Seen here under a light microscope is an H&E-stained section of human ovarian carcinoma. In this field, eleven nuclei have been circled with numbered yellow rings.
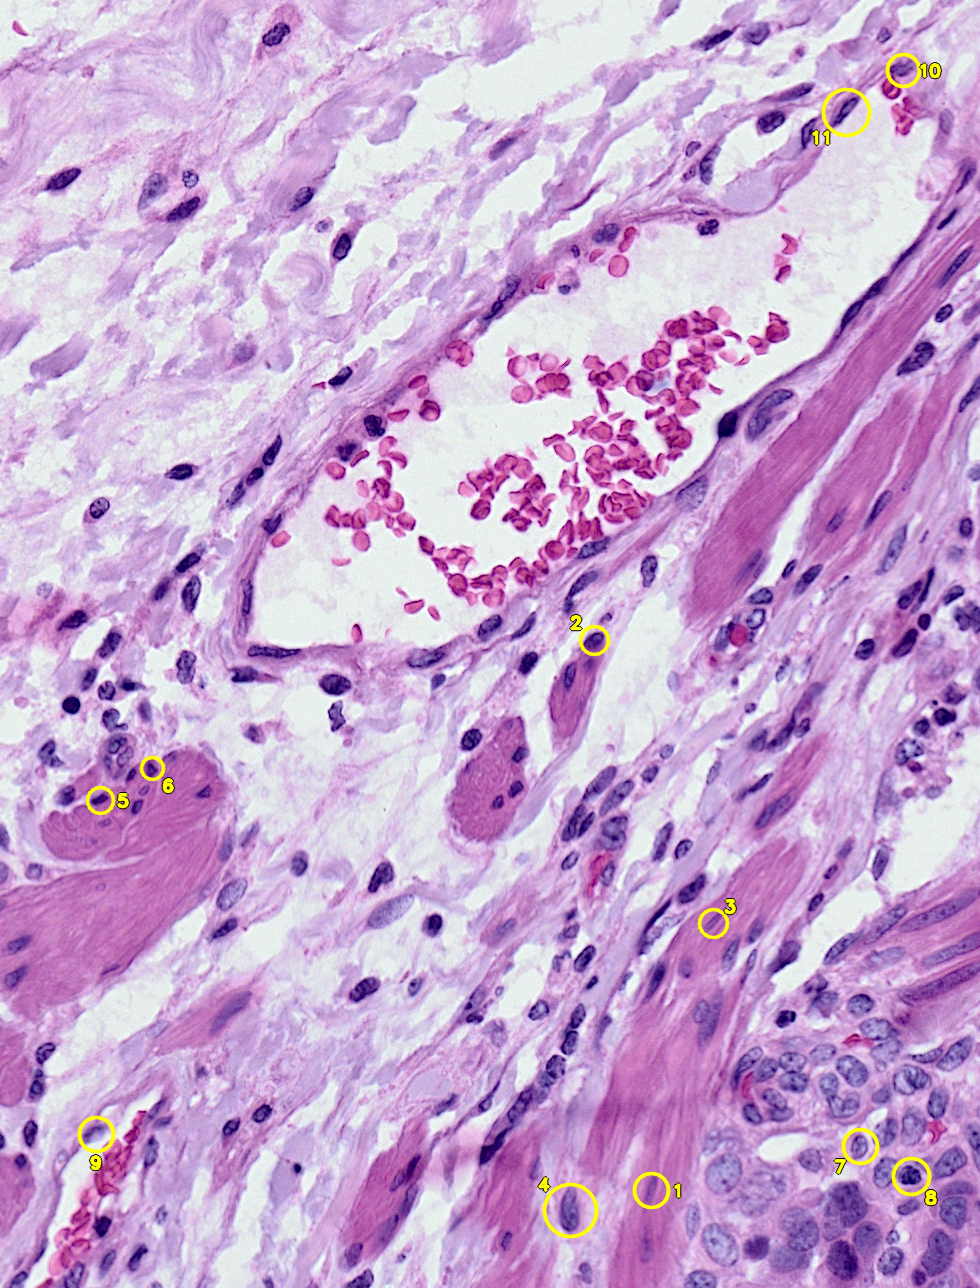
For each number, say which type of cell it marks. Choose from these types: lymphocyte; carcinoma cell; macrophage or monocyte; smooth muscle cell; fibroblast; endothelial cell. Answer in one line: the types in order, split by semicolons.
smooth muscle cell; smooth muscle cell; smooth muscle cell; smooth muscle cell; smooth muscle cell; smooth muscle cell; macrophage or monocyte; lymphocyte; endothelial cell; endothelial cell; endothelial cell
